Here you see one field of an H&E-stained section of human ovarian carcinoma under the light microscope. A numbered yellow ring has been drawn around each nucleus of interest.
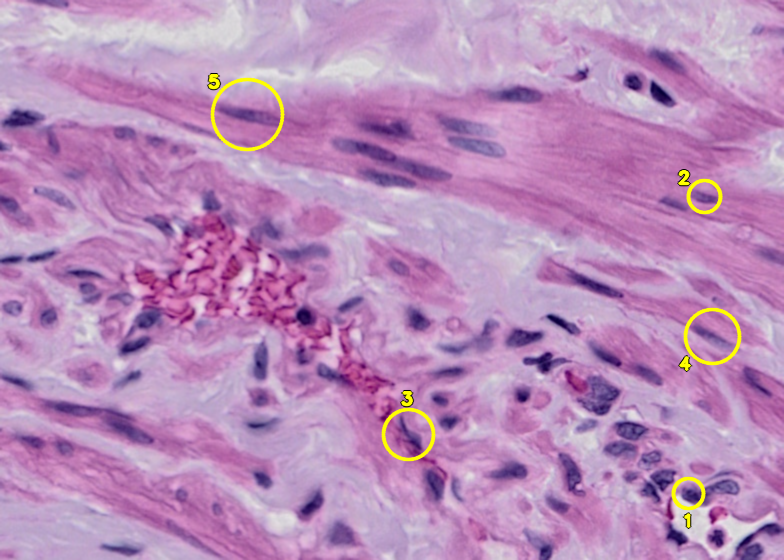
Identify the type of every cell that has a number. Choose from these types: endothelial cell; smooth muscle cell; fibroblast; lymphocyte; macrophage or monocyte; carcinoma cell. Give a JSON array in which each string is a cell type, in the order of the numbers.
["endothelial cell", "smooth muscle cell", "endothelial cell", "smooth muscle cell", "smooth muscle cell"]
